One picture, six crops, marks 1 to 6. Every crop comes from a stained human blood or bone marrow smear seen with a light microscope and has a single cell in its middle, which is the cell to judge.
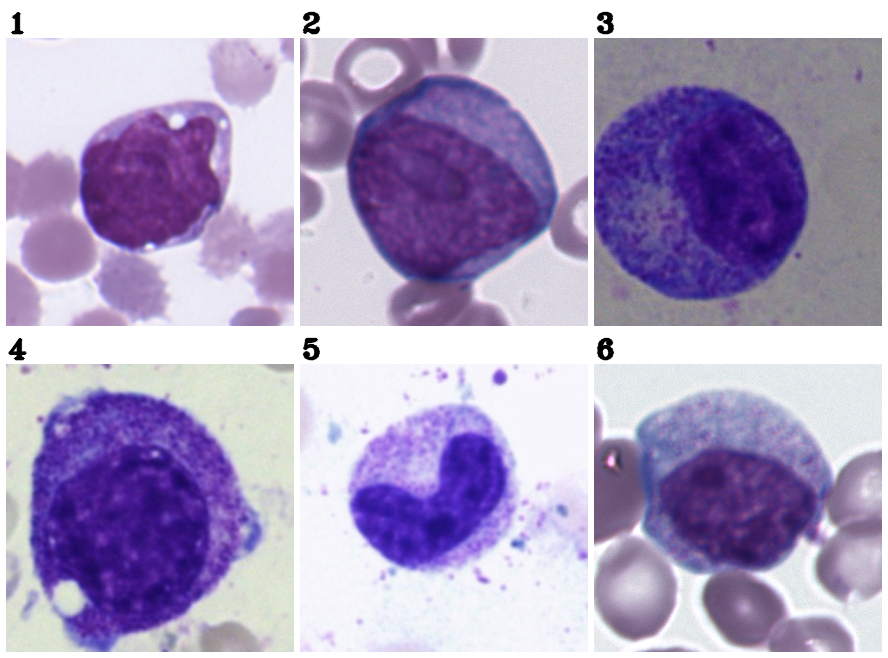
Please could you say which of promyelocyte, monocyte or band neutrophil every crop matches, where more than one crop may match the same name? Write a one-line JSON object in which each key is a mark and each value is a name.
{"1": "monocyte", "2": "promyelocyte", "3": "promyelocyte", "4": "promyelocyte", "5": "band neutrophil", "6": "promyelocyte"}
